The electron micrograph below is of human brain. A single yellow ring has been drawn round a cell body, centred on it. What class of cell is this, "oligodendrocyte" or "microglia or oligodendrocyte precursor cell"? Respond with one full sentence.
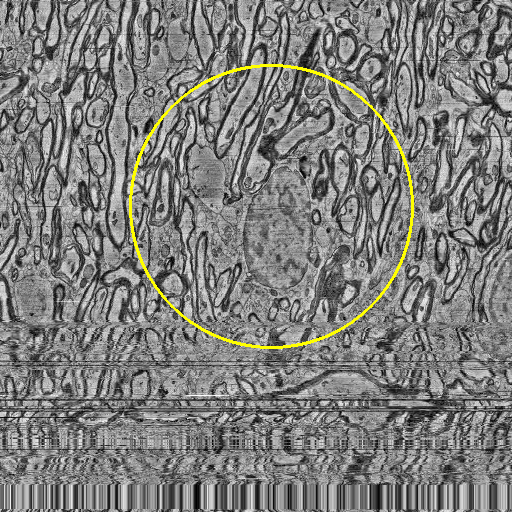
In the micrograph, the cell centred inside the yellow ring is a microglial cell or oligodendrocyte precursor cell.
